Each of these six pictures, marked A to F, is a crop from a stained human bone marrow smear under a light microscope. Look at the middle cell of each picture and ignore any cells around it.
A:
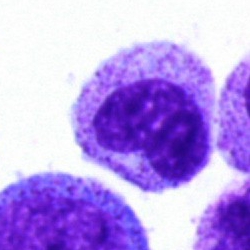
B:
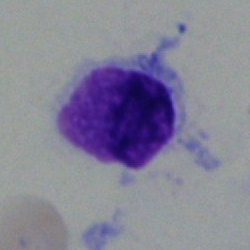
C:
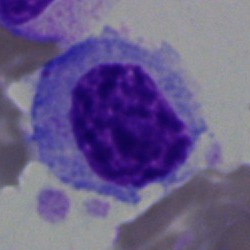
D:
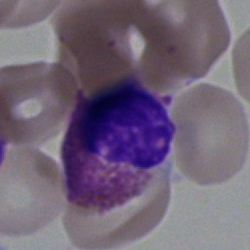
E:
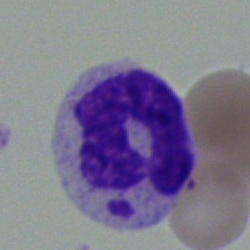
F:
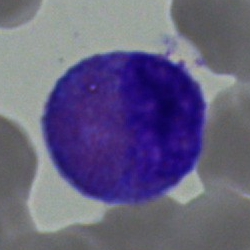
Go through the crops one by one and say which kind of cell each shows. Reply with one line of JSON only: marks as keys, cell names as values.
{"A": "metamyelocyte", "B": "hairy cell", "C": "hairy cell", "D": "eosinophil", "E": "band neutrophil", "F": "eosinophil"}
